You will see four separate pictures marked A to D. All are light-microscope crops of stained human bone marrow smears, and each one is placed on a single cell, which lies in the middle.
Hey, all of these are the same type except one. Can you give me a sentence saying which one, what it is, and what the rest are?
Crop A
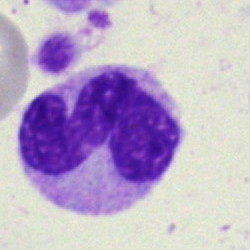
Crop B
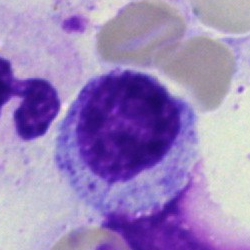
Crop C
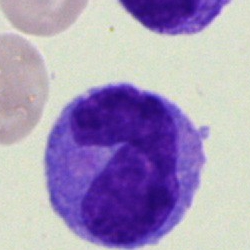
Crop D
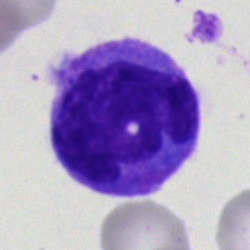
Crop B shows a myelocyte, while all of the others show monocytes.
